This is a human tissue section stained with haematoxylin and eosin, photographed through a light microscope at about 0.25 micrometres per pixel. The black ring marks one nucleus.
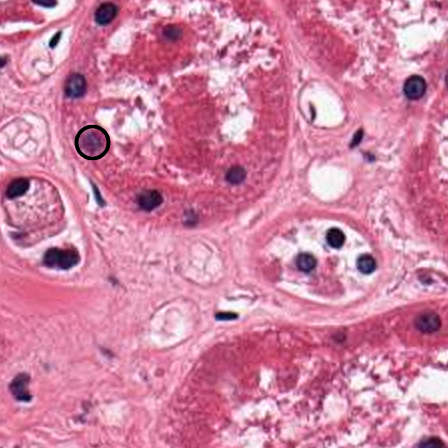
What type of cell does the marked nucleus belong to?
proximal tubule cell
